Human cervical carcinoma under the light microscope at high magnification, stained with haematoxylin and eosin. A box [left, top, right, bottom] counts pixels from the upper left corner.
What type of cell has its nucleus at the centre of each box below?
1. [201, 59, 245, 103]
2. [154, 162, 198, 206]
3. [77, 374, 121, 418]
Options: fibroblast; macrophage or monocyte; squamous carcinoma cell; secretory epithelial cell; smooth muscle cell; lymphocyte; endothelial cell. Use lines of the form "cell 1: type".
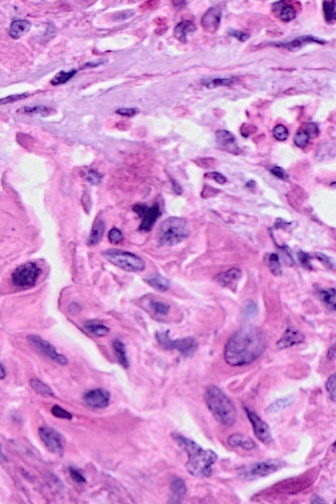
cell 1: fibroblast
cell 2: fibroblast
cell 3: squamous carcinoma cell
